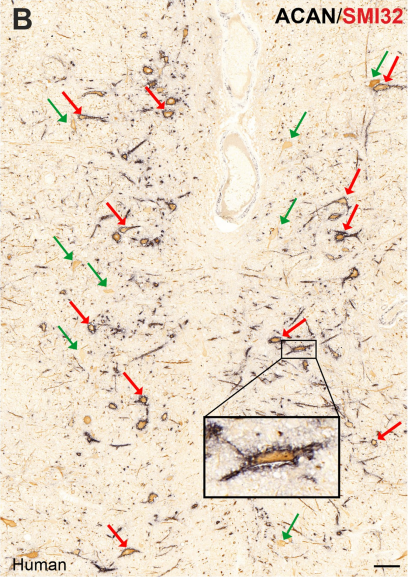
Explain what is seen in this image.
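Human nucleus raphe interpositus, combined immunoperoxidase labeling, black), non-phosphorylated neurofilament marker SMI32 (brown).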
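This brainstem section near the midline shows scattered neurons with brown cell bodies, many of them surrounded by black perineuronal nets. The net-coated neurons are small to medium, often elongated or spindle-shaped, and lie loosely dispersed on both sides of a midline blood vessel. Black coating outlines their somata and extends along processes, as seen in the enlarged inset where a brown fusiform cell body is framed by black net material. Other brown neurons lack any black coating and appear as pale brown round profiles. Numerous thin black fibres and fragments are distributed through the pale neuropil.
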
